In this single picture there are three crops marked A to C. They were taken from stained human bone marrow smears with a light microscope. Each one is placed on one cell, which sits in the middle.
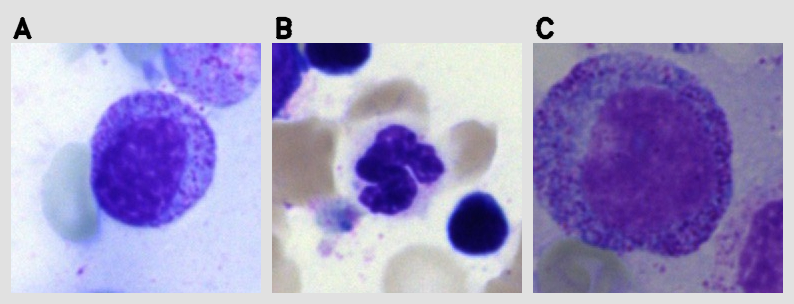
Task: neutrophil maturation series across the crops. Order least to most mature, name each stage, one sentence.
Arranged from least mature to most mature, the sequence reads crop C (a promyelocyte), crop A (a myelocyte) and crop B (a segmented neutrophil).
